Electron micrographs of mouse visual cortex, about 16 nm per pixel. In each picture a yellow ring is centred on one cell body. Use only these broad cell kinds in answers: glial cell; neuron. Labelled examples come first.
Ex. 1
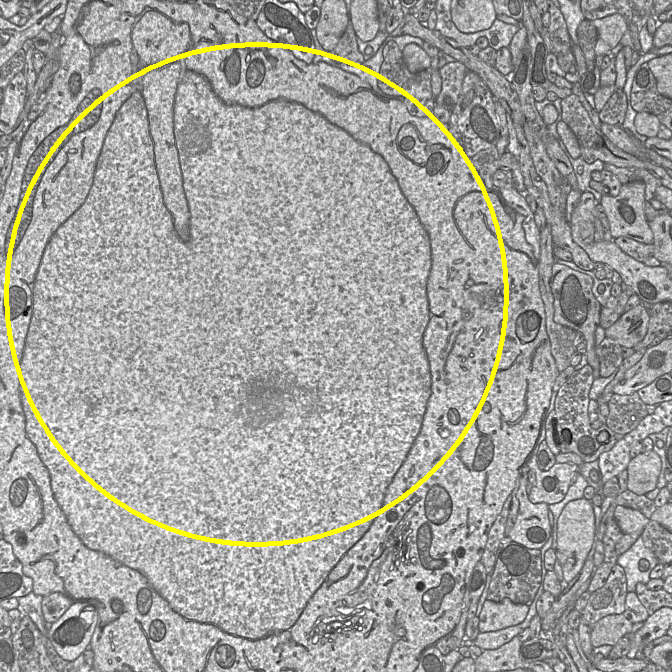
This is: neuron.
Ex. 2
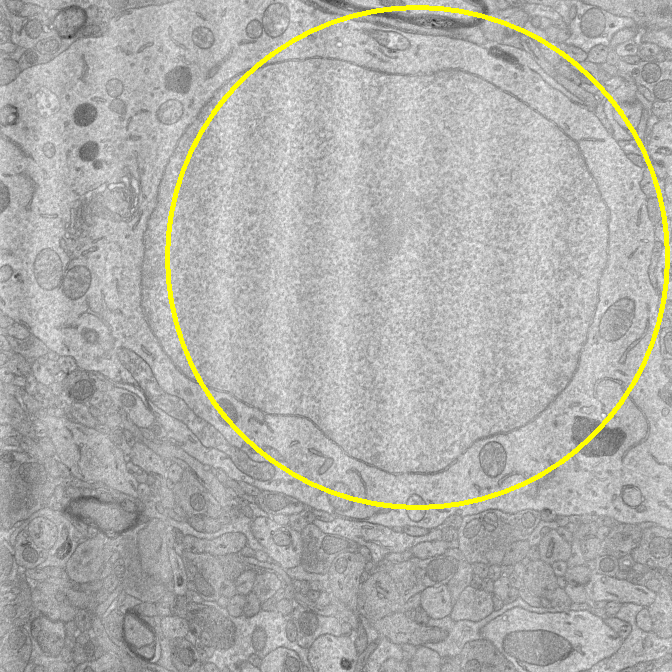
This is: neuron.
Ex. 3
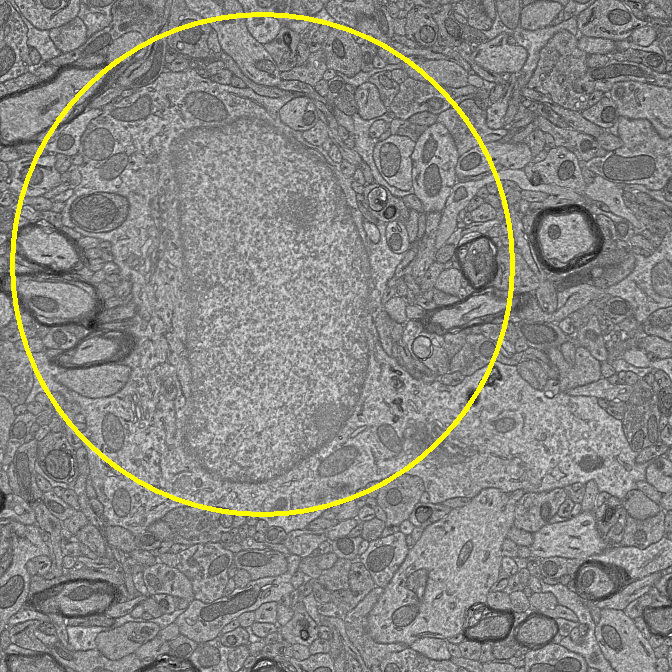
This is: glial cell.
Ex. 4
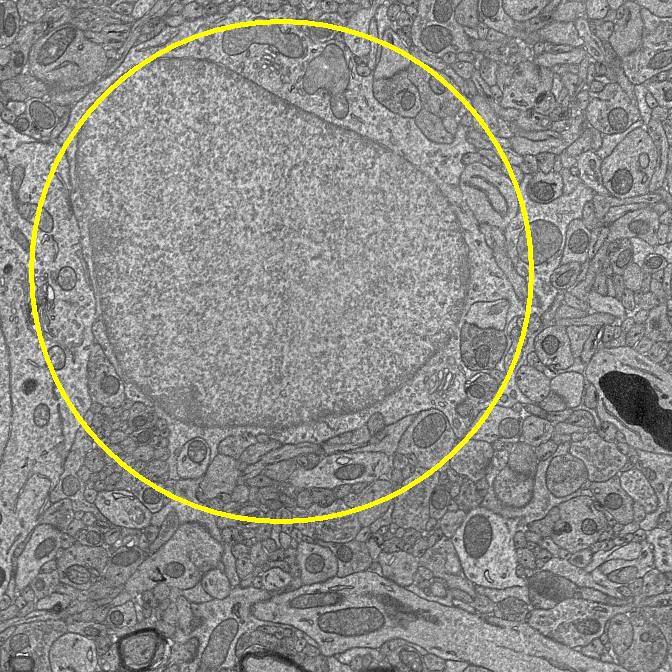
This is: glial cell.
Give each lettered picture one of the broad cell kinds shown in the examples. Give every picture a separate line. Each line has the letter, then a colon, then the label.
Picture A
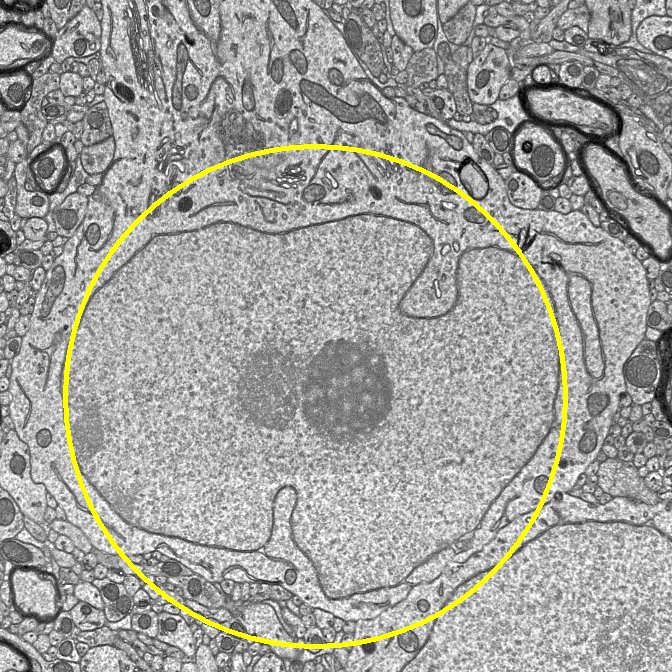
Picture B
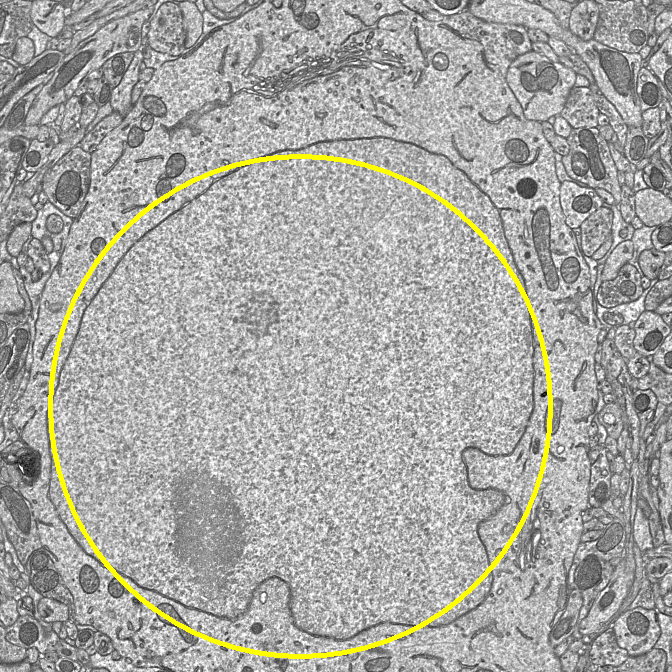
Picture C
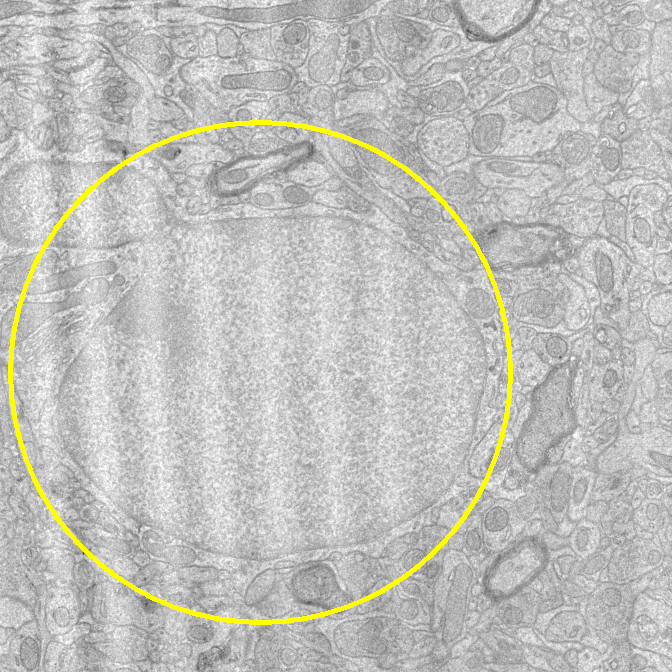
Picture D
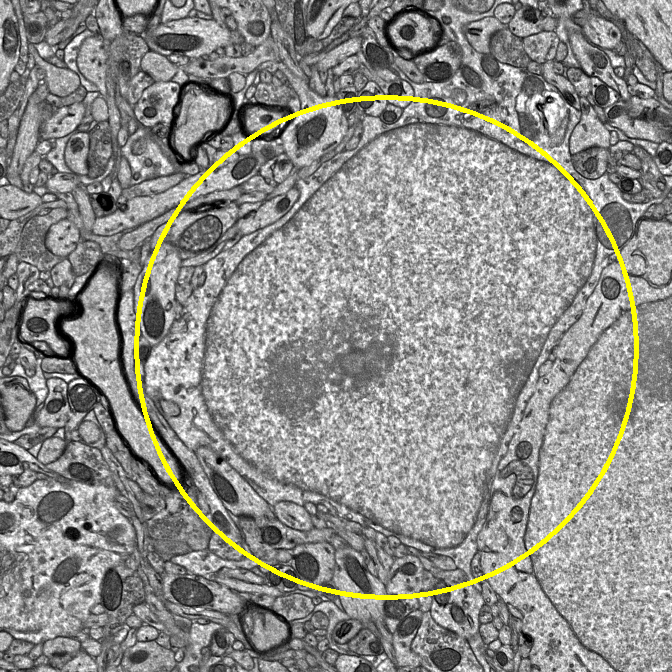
A: neuron.
B: neuron.
C: glial cell.
D: glial cell.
